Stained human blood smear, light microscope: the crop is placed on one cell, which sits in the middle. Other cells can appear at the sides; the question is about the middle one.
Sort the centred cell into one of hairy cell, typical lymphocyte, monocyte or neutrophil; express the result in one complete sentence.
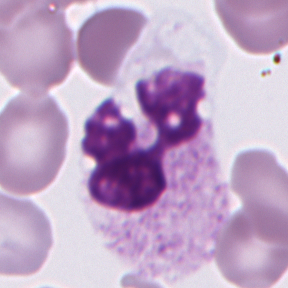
Regarding the central cell, it is a neutrophil.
